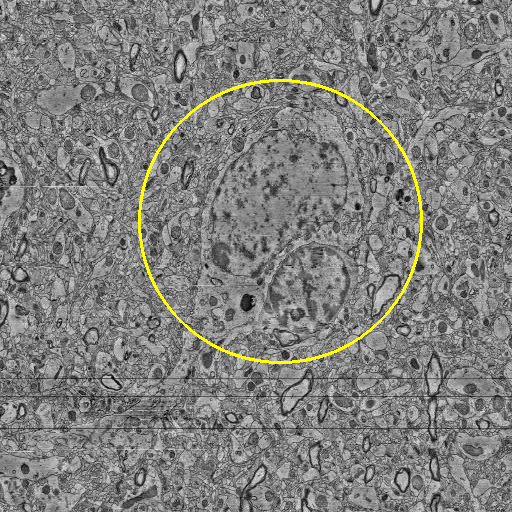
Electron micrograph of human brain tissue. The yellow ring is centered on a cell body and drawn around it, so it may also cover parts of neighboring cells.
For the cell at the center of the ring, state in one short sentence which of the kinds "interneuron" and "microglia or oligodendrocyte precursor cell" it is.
This ring is centered on an interneuron.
